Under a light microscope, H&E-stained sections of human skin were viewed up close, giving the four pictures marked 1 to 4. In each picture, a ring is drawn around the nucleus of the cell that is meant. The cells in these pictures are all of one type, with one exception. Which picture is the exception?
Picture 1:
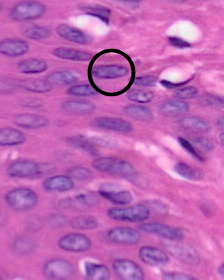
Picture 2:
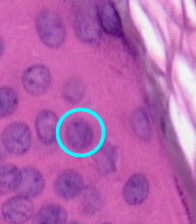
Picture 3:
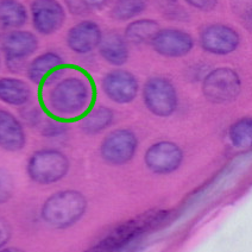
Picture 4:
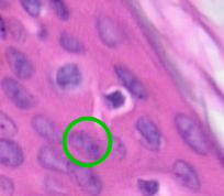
1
